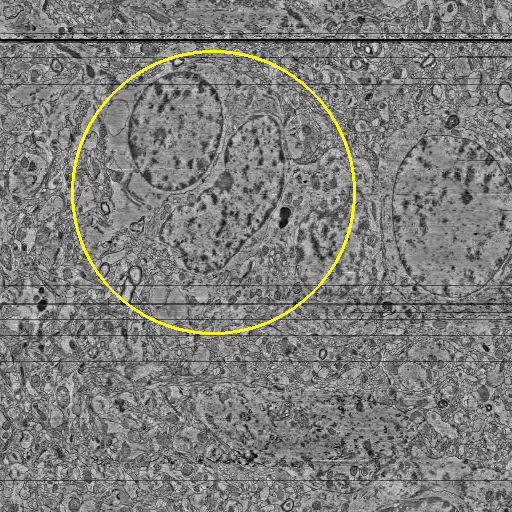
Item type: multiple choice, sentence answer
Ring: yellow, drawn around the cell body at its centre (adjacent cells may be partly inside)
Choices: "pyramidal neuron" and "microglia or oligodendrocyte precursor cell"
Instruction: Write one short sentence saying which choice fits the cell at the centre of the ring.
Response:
This ring is drawn around a microglial cell or oligodendrocyte precursor cell.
